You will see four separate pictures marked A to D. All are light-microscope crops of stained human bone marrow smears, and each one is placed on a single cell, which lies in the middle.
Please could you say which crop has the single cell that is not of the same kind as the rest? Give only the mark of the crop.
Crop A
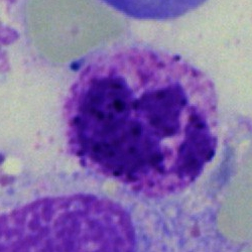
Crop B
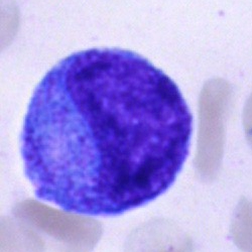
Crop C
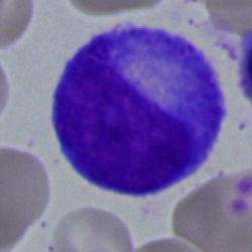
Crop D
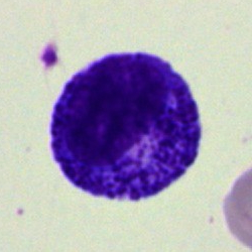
A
